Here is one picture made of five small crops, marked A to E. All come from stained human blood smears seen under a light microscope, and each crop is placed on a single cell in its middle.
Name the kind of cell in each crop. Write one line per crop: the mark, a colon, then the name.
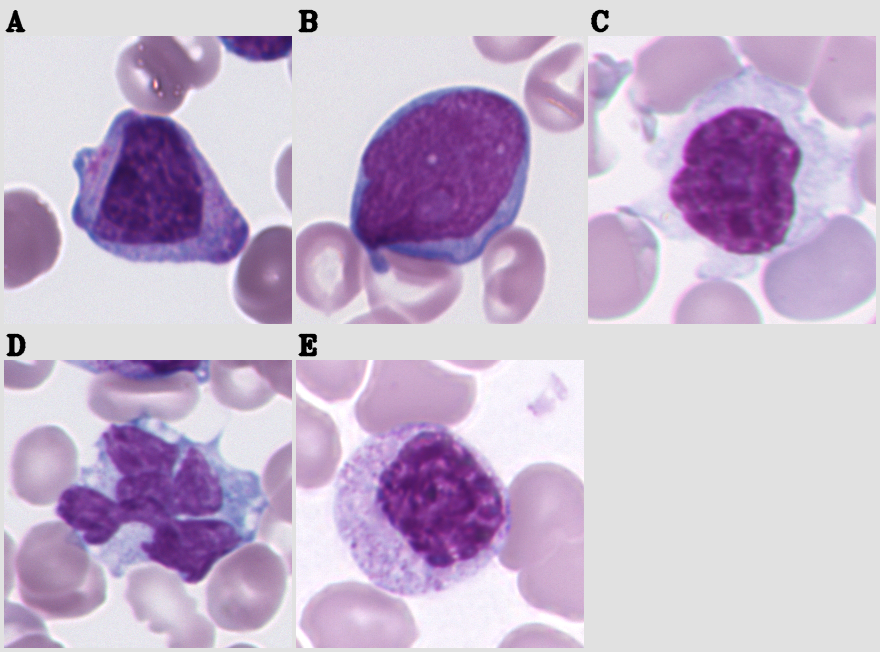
A: atypical promyelocyte
B: myeloblast
C: hairy cell
D: monocyte
E: myelocyte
